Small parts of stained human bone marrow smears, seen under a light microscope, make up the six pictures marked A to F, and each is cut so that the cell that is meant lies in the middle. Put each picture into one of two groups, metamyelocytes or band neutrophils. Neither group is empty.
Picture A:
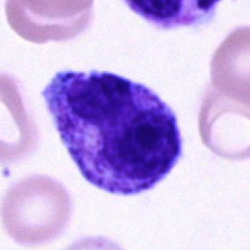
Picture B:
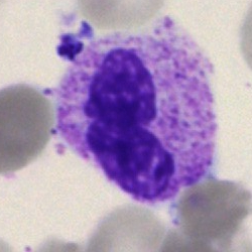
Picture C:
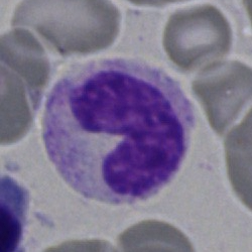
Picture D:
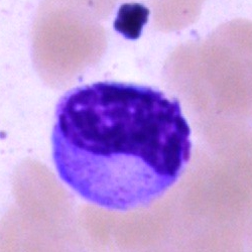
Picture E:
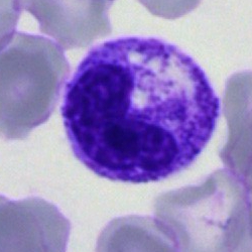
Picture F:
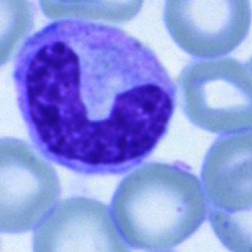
A: metamyelocyte
B: band neutrophil
C: band neutrophil
D: metamyelocyte
E: metamyelocyte
F: band neutrophil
